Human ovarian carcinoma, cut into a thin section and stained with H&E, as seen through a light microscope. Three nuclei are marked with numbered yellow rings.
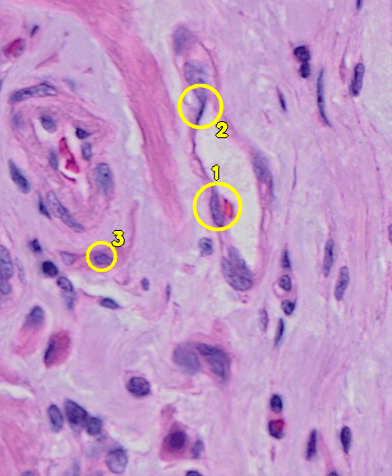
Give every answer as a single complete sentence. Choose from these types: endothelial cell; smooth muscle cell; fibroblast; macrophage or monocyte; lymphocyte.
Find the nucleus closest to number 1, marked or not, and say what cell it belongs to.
The nucleus nearest to number 1 is that of a lymphocyte.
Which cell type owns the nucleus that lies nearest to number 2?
Number 2 lies closest to the nucleus of an endothelial cell.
